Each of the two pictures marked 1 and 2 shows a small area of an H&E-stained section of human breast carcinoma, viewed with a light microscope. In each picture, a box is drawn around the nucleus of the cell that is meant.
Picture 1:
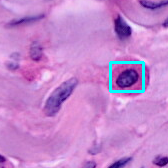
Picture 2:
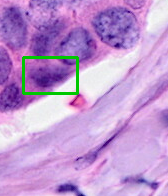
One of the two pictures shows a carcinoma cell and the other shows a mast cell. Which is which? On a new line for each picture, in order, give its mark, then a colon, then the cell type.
1: mast cell
2: carcinoma cell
